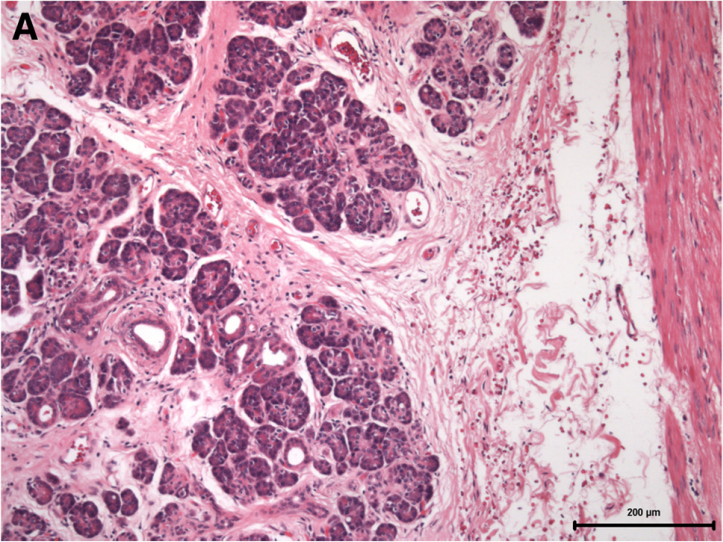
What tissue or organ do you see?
exocrine pancreas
